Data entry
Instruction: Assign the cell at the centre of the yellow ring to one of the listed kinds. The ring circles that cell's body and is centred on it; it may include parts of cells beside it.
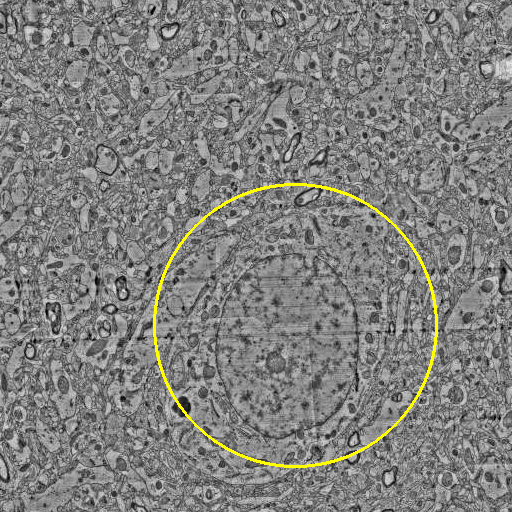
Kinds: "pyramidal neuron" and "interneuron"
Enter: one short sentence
The centre of the ring falls on an interneuron.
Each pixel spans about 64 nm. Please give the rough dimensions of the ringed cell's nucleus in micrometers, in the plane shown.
In this plane, roughly 12 by 10 micrometres.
